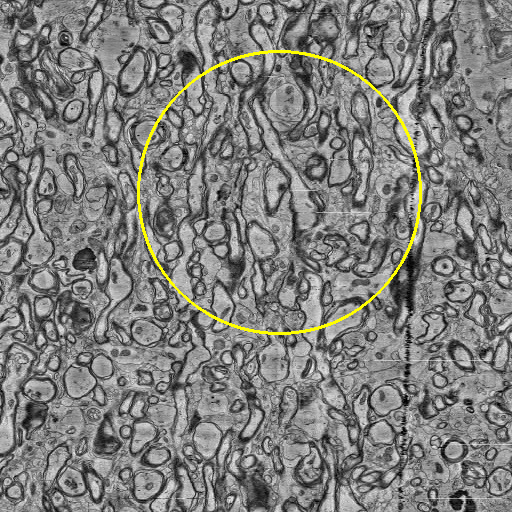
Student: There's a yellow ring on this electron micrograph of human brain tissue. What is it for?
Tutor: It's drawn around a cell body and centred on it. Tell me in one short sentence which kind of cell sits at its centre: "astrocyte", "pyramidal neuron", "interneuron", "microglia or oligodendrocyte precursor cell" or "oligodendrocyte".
The cell at the centre of the ring is a microglial cell or oligodendrocyte precursor cell.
